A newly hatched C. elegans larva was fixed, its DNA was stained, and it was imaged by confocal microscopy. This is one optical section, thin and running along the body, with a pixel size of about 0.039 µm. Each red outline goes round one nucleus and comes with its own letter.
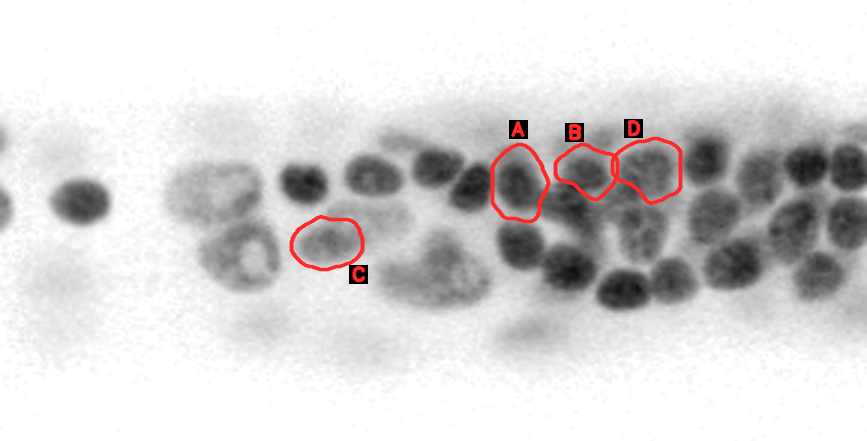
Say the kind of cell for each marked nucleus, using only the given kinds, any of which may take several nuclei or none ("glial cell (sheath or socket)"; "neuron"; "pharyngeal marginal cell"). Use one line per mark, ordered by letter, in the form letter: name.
A: neuron
B: neuron
C: pharyngeal marginal cell
D: neuron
